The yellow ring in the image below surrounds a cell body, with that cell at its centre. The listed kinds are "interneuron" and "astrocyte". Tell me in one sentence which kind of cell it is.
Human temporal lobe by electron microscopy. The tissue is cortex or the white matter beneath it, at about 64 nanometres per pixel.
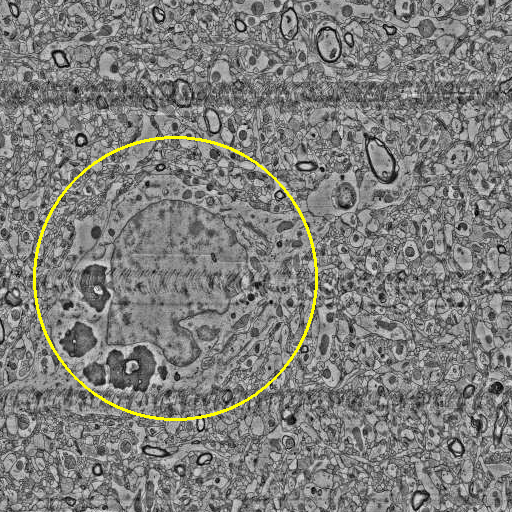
The centre of the ring holds an interneuron.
